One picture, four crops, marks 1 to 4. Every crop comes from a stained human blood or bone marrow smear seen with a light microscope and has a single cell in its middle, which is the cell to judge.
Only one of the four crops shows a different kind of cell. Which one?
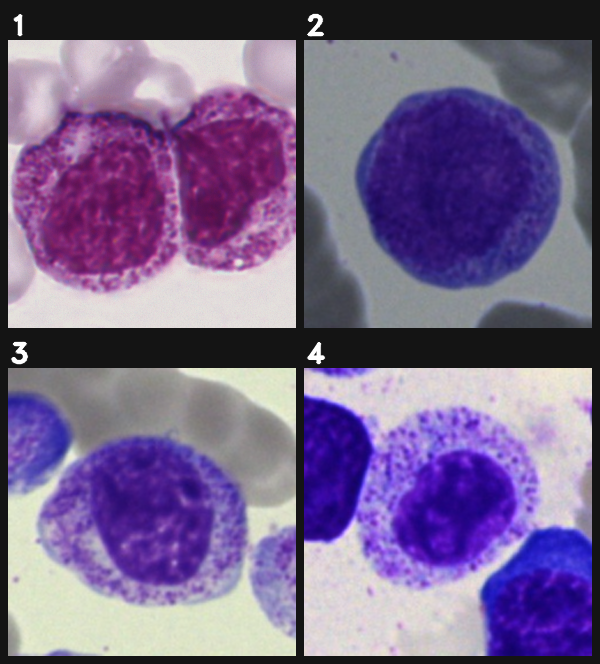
2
